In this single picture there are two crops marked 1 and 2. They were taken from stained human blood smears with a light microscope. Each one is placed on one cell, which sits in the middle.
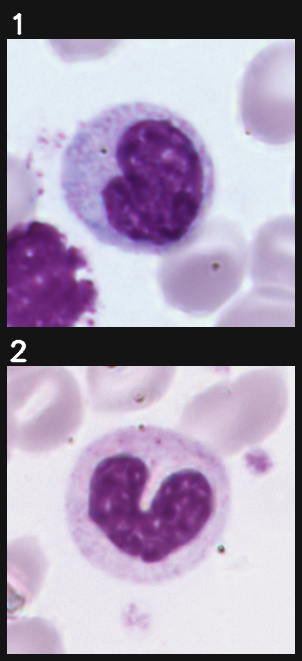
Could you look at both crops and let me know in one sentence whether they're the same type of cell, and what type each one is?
No, crop 1 is to be identified as a metamyelocyte and crop 2 as a band neutrophil.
